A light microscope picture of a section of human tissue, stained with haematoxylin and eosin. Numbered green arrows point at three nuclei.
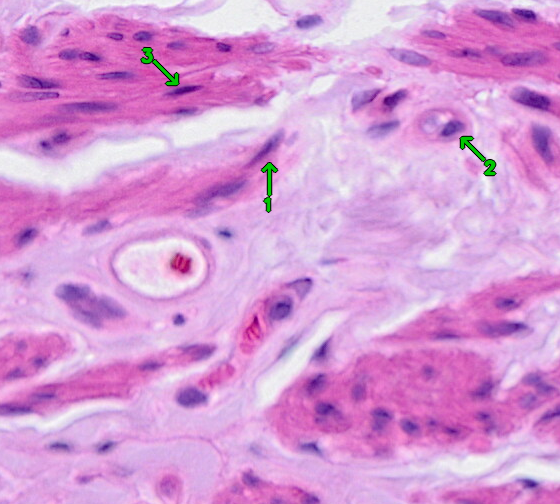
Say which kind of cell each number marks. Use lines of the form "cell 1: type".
cell 1: smooth muscle cell
cell 2: endothelial cell
cell 3: smooth muscle cell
